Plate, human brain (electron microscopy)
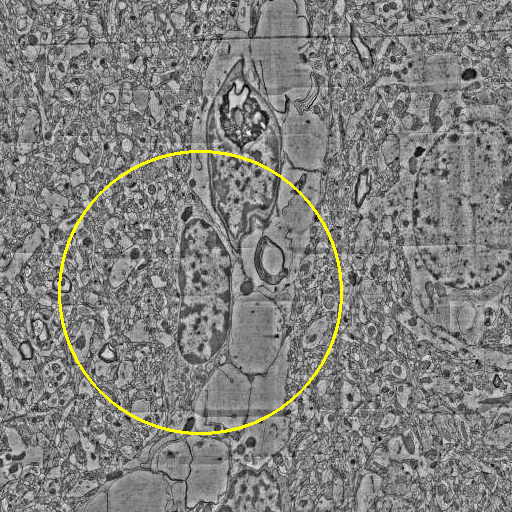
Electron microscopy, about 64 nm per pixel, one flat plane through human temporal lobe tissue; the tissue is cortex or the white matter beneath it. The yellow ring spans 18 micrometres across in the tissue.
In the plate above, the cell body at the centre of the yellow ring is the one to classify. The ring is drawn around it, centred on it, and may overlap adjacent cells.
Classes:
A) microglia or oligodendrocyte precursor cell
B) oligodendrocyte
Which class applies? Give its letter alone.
A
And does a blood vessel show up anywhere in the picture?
Yes.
